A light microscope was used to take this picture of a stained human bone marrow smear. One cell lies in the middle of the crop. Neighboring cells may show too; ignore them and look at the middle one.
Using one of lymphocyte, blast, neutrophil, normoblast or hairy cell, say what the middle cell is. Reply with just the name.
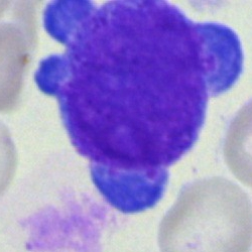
blast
